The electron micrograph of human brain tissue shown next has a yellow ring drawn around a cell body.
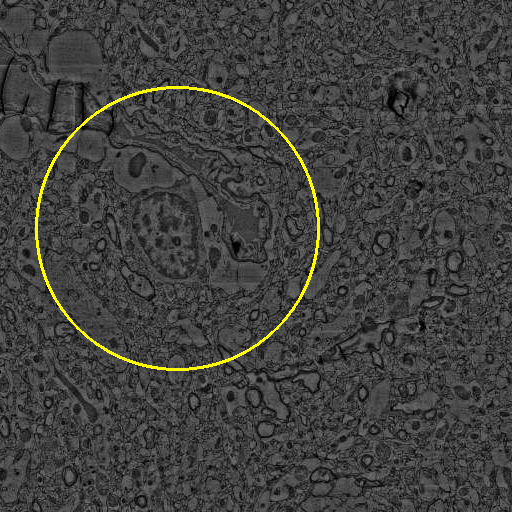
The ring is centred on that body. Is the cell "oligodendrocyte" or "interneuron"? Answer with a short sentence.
The cell in question is an oligodendrocyte.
